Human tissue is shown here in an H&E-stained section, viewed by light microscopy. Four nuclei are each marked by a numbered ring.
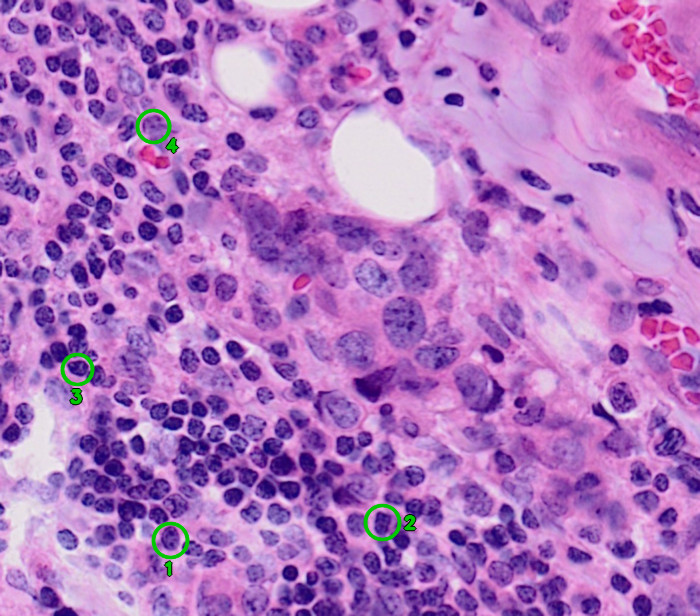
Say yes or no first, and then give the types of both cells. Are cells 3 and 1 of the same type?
Yes, both are lymphocytes.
